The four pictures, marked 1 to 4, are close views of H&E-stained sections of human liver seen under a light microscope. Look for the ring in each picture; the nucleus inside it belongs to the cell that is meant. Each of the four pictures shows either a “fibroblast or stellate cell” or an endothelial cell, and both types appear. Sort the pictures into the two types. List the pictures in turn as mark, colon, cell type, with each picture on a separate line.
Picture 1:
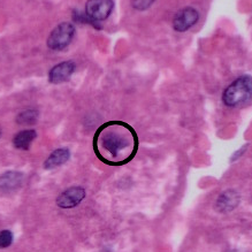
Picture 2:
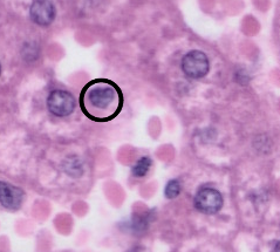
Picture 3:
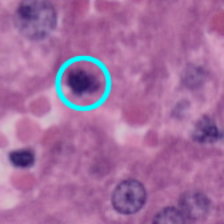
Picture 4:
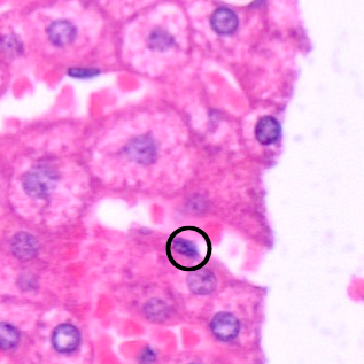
1: endothelial cell
2: fibroblast or stellate cell
3: fibroblast or stellate cell
4: fibroblast or stellate cell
